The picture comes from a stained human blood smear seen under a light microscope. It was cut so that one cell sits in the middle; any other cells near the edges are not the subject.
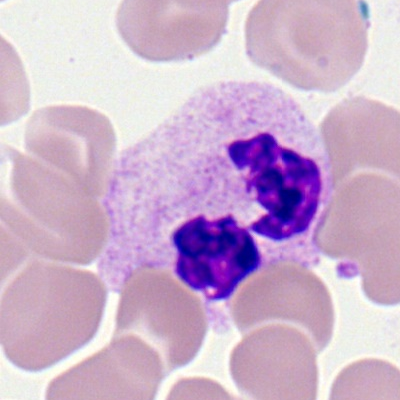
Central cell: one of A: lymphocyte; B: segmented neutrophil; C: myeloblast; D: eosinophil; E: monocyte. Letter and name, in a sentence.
The cell at the centre, correctly named in option B, is a segmented neutrophil.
